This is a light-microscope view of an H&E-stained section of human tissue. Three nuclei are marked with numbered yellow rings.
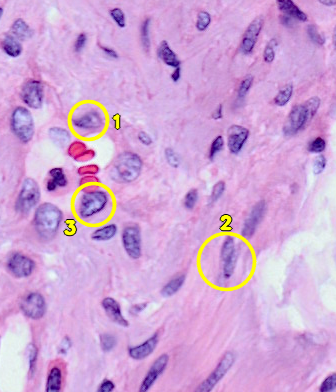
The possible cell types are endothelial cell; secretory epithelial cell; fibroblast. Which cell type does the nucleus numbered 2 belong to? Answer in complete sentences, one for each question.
The cell whose nucleus carries the number 2 is a fibroblast.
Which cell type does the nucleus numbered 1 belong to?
Cell 1 in the field is an endothelial cell.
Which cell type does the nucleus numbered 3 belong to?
Heads up, the cell numbered 3 is an endothelial cell.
